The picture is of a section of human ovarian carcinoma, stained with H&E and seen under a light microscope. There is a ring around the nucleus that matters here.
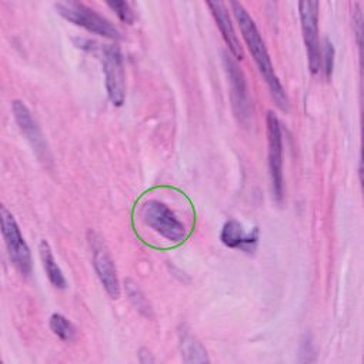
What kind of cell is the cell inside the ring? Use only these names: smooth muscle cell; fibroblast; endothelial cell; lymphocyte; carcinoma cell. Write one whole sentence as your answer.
The category to which the cell inside the ring belongs is that of a smooth muscle cell.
